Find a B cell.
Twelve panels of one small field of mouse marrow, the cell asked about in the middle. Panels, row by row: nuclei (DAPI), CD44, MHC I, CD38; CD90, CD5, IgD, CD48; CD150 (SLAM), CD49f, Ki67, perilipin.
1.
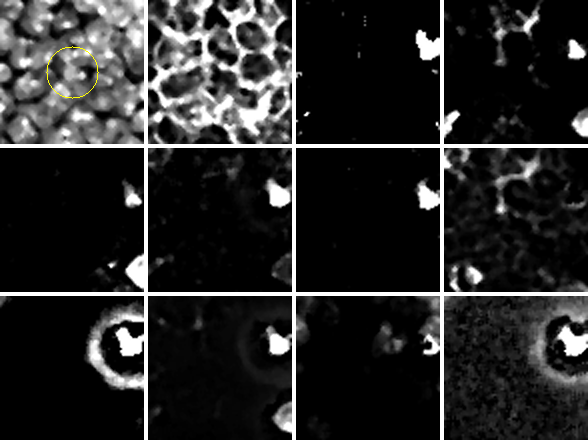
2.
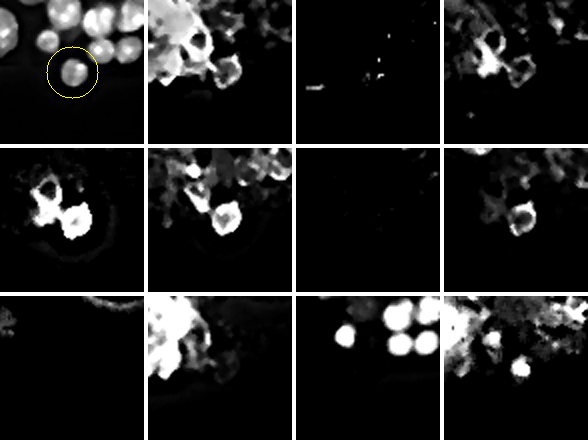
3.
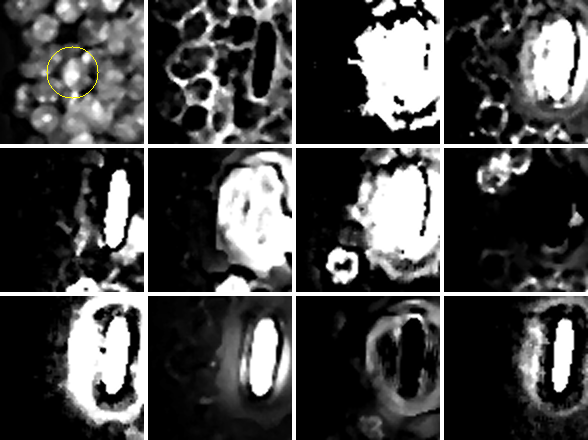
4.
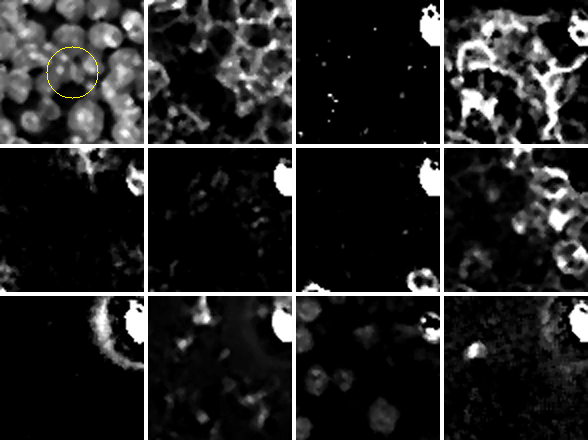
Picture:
3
